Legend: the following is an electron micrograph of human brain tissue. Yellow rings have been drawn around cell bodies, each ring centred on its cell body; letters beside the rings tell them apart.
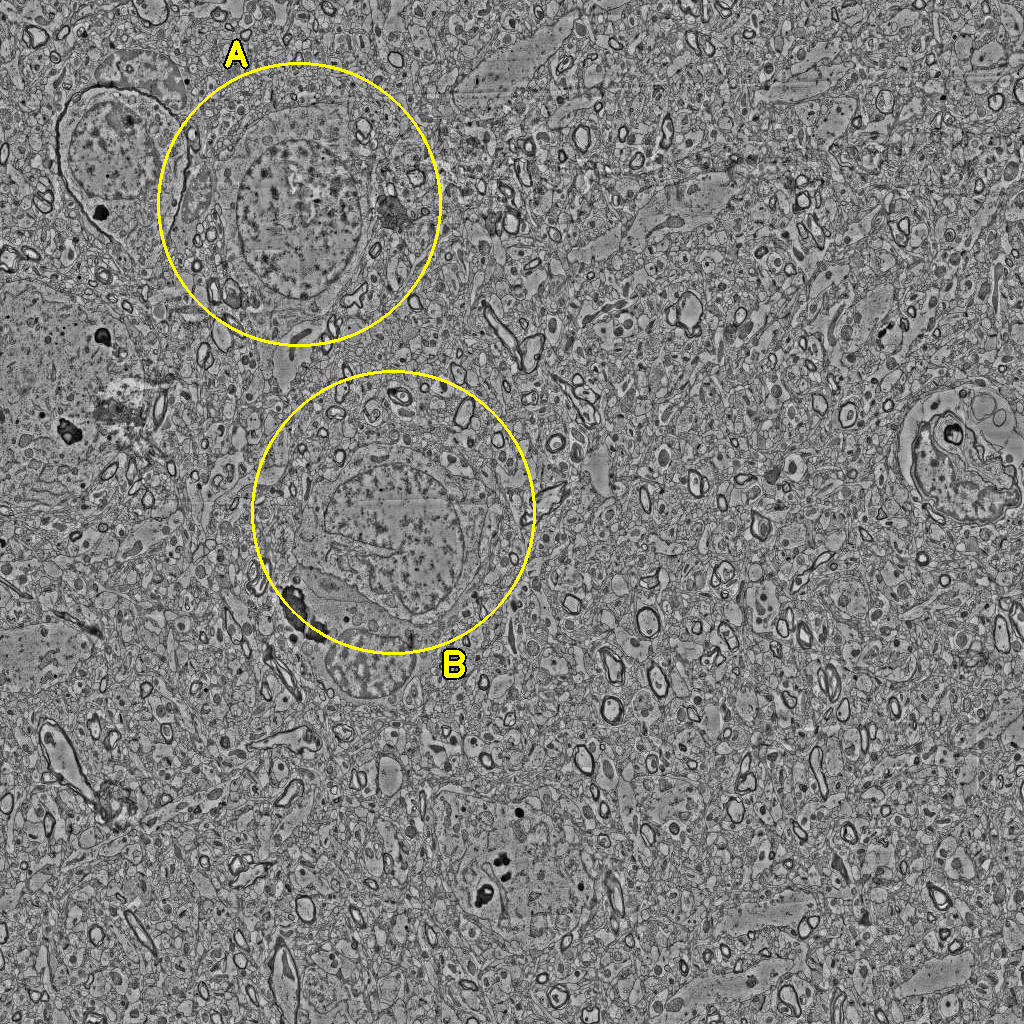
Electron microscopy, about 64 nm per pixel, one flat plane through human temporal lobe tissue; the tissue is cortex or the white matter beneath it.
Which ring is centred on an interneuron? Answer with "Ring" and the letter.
Ring A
